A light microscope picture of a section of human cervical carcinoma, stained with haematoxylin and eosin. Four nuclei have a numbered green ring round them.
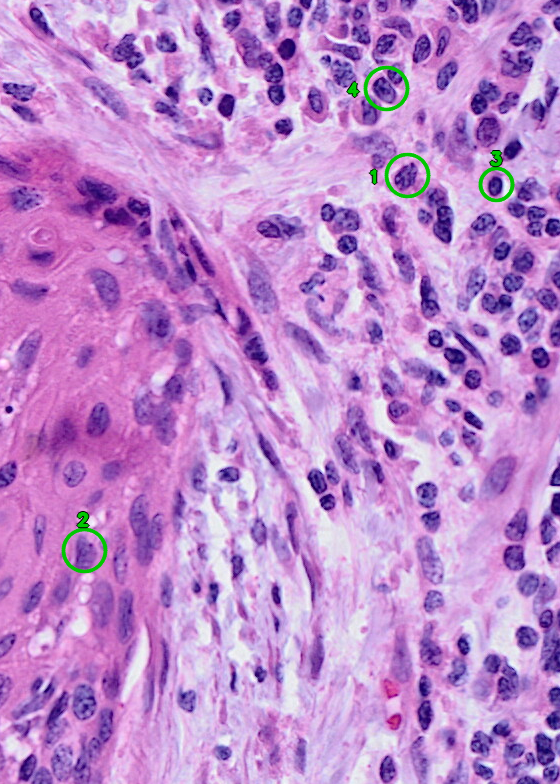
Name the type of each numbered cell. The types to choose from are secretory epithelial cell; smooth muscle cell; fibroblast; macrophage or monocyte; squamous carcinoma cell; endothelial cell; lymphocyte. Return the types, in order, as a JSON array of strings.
["lymphocyte", "squamous carcinoma cell", "lymphocyte", "lymphocyte"]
